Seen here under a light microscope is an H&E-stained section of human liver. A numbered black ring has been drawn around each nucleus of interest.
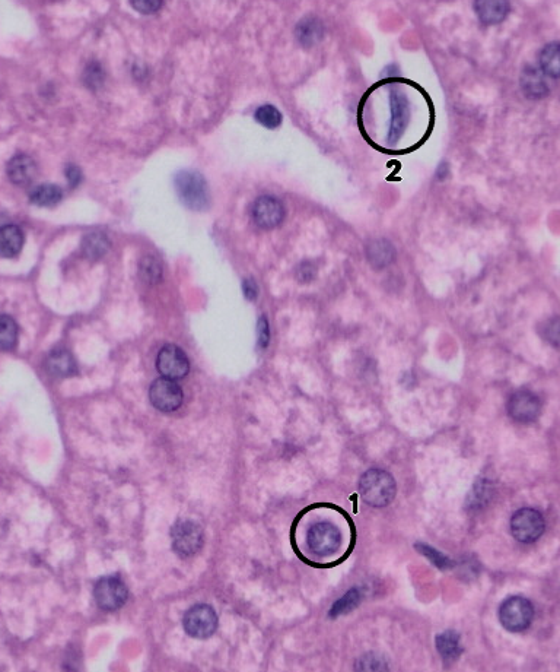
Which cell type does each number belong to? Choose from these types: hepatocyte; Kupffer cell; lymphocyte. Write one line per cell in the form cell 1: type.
cell 1: hepatocyte
cell 2: Kupffer cell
